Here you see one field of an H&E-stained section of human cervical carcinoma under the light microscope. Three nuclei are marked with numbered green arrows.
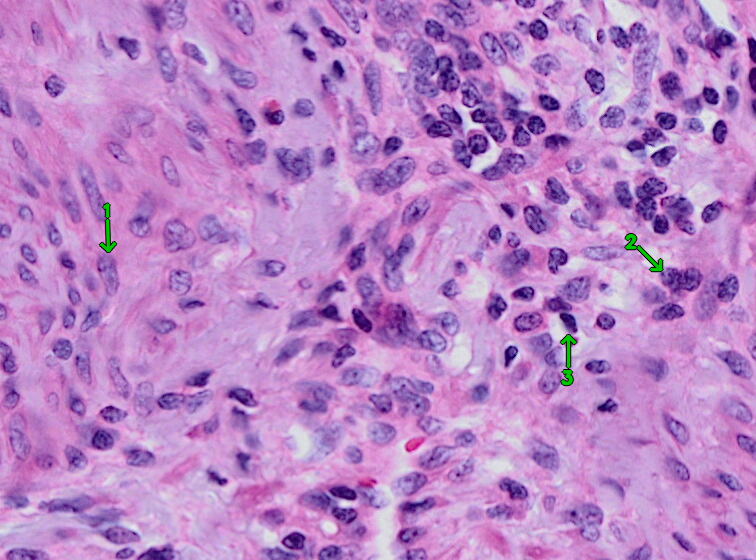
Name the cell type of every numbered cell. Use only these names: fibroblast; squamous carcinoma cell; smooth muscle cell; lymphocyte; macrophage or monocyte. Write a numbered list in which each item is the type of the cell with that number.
1. smooth muscle cell
2. lymphocyte
3. lymphocyte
